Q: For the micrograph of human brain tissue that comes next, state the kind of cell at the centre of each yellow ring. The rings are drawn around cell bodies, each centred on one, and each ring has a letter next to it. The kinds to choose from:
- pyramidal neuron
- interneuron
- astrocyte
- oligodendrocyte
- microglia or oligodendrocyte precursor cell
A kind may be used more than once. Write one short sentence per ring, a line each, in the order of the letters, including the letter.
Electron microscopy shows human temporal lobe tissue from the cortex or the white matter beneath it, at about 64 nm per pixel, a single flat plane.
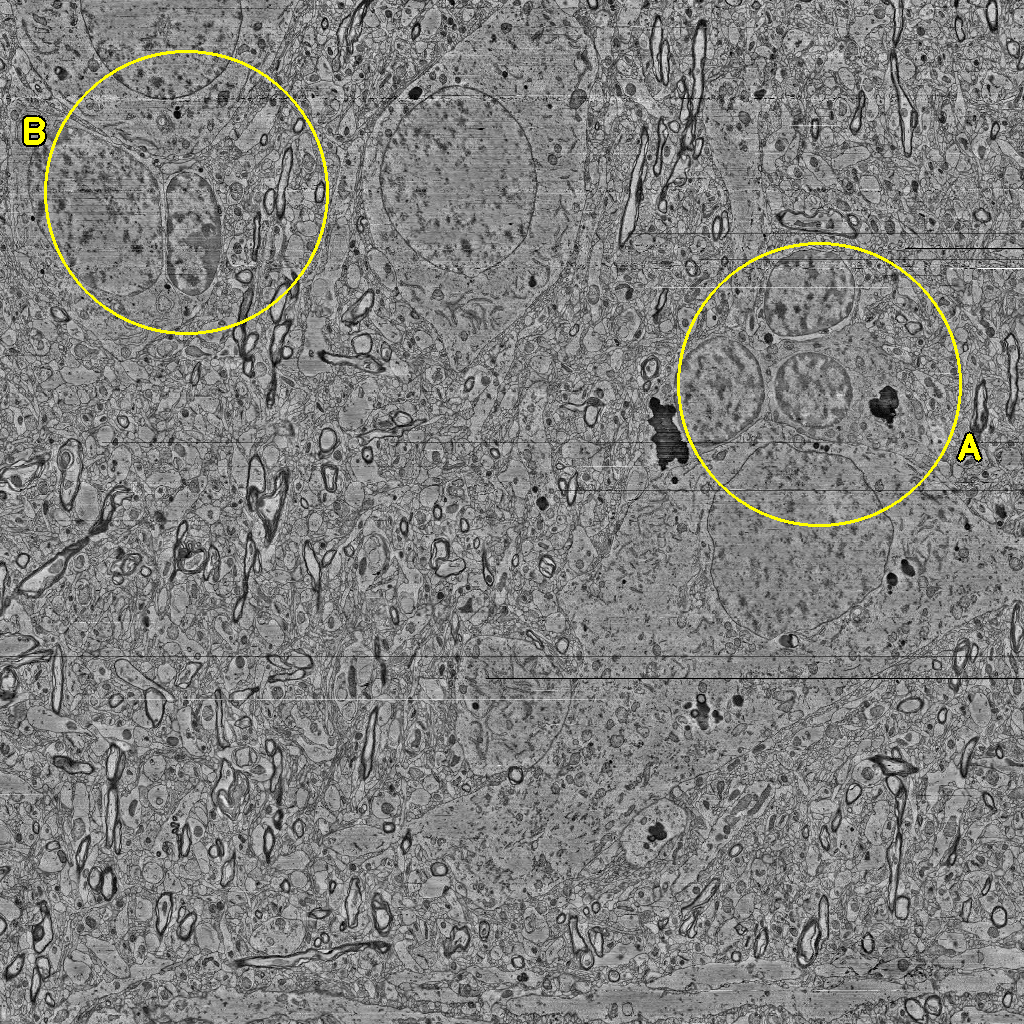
The cell ringed as A is an oligodendrocyte.
The cell ringed as B is a microglial cell or oligodendrocyte precursor cell.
